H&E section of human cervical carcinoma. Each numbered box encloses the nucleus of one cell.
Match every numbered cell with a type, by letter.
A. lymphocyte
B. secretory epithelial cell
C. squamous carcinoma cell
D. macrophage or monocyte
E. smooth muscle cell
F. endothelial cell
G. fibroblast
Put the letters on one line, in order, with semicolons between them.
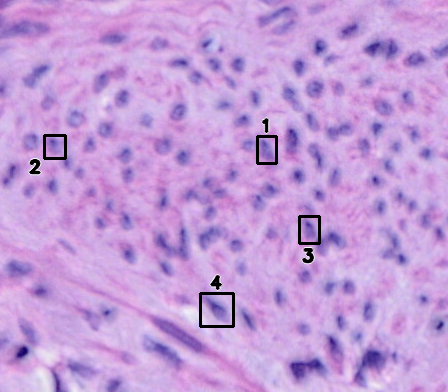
E; E; E; G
